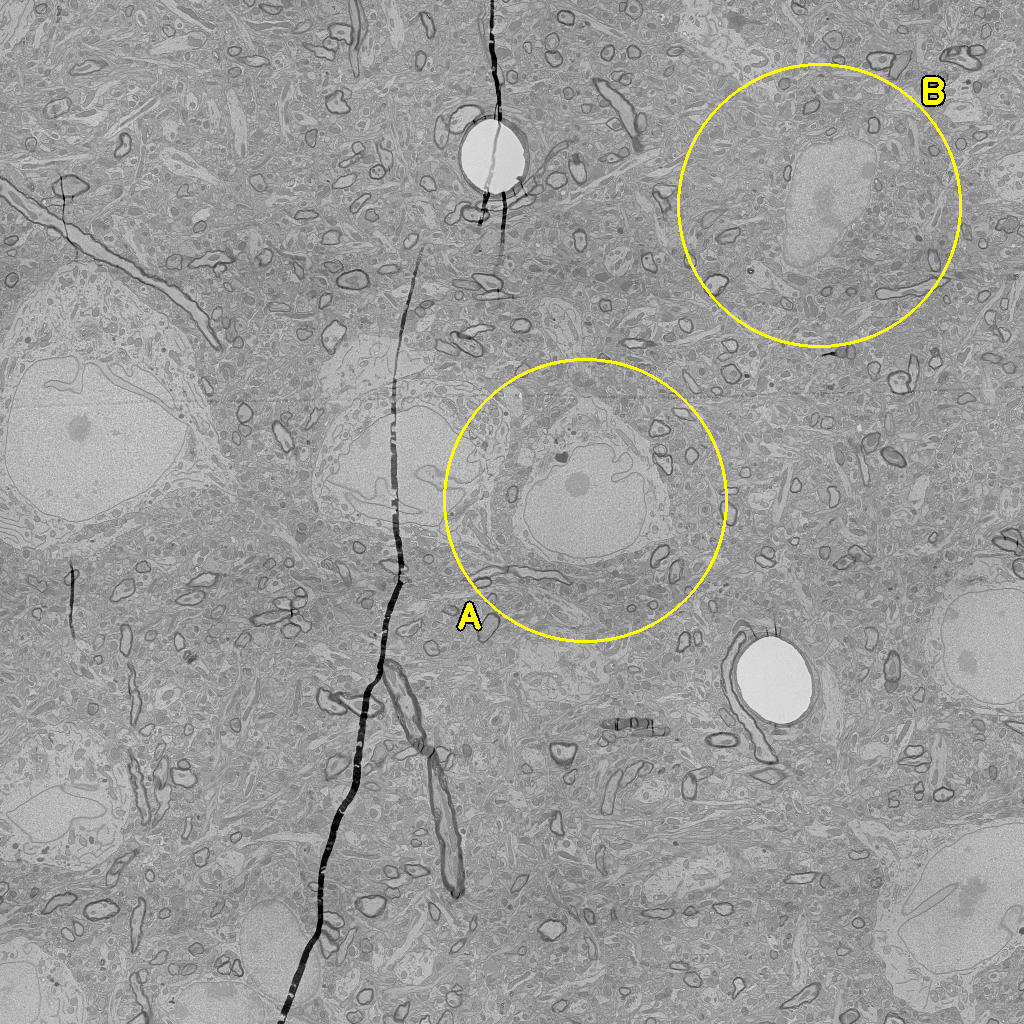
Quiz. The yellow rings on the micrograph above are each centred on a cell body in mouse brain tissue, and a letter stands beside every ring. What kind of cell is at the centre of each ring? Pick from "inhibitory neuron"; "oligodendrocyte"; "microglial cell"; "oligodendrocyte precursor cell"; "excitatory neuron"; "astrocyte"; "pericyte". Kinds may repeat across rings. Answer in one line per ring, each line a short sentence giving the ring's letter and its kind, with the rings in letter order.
The ring labelled A has an excitatory neuron at its centre.
The ring labelled B has an astrocyte at its centre.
